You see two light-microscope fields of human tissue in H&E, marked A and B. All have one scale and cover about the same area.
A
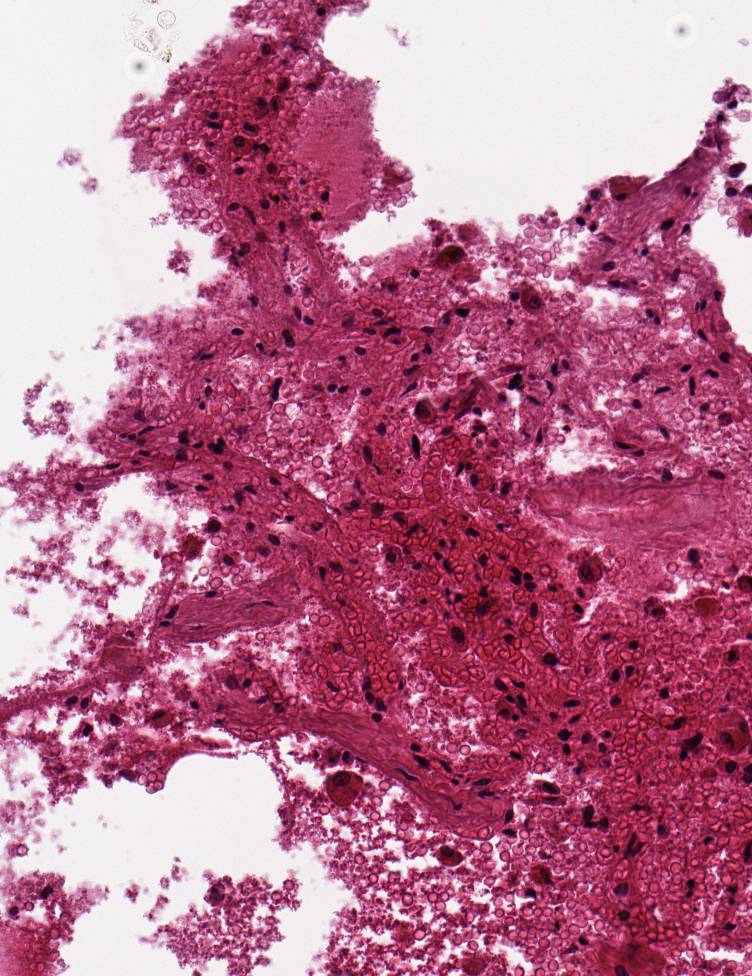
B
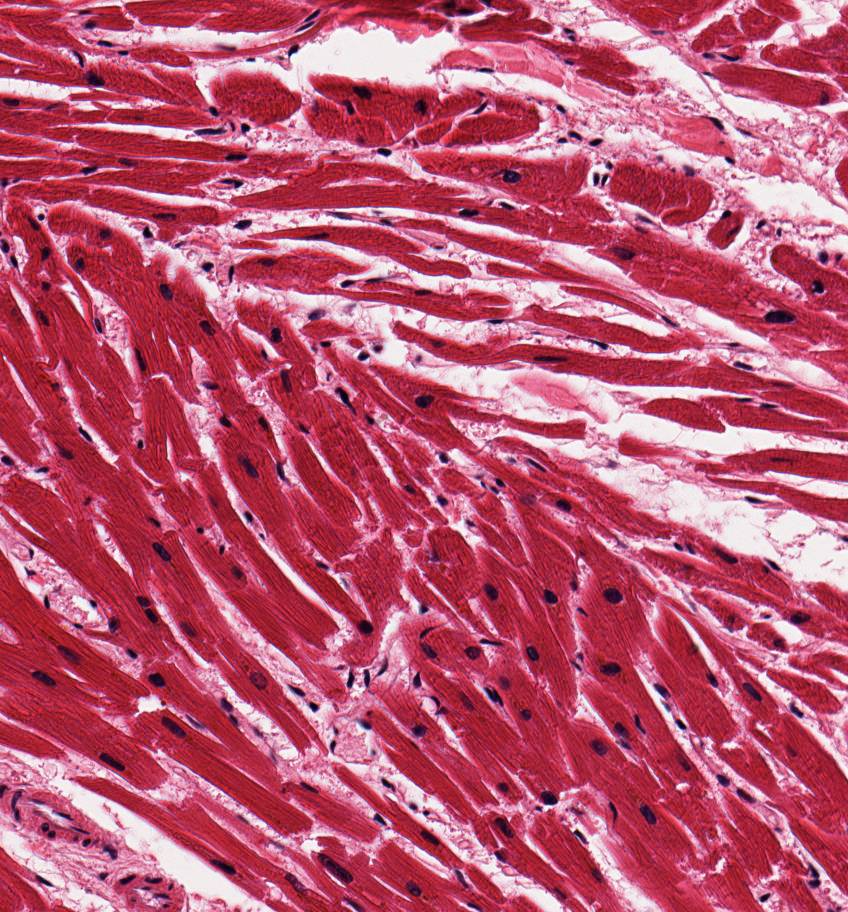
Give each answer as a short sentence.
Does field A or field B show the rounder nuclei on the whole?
On the whole the nuclei of field A are rounder than those of field B.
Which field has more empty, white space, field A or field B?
Unstained space takes up more of field A than of field B.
